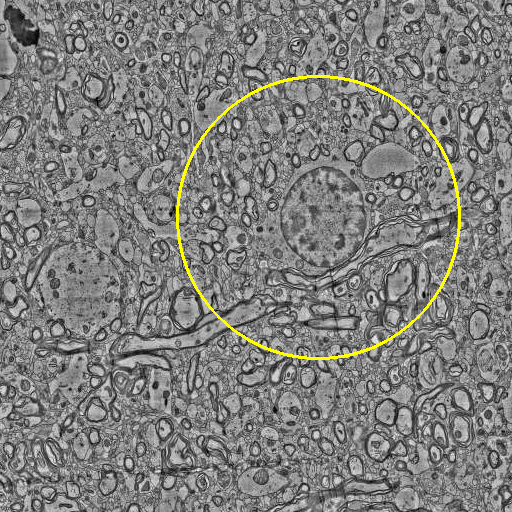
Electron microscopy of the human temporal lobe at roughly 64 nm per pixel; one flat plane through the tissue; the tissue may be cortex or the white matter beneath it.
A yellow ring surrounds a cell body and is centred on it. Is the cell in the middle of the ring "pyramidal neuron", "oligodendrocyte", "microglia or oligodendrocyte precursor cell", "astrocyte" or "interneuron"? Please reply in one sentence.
The ring is centred on an oligodendrocyte.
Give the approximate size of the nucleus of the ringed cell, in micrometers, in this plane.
About 7 by 5 micrometers for the nucleus, in this plane.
